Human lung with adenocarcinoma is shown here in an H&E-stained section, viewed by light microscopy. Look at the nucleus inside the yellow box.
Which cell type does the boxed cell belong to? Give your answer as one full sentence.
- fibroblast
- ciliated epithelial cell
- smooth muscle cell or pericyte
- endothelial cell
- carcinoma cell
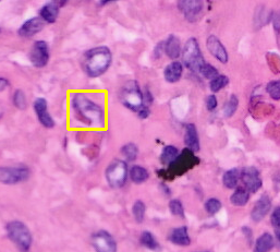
In this section, the boxed cell is an endothelial cell.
